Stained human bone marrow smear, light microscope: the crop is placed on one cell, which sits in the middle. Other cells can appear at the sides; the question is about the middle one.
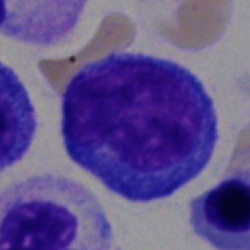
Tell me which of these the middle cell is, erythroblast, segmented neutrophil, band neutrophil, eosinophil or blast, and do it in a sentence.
The middle position in this crop is taken by a blast.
